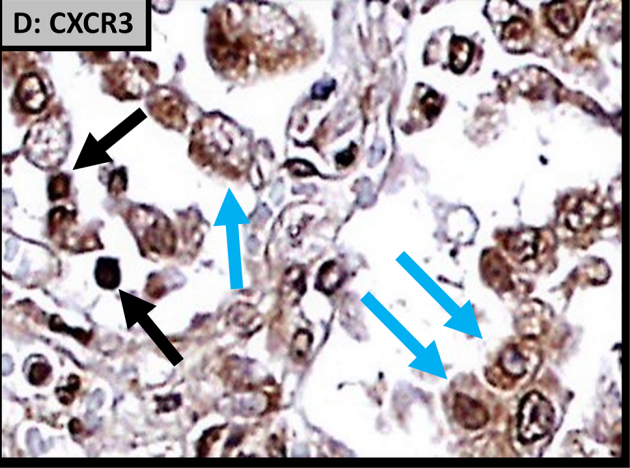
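This is lung tissue whose air spaces hold large free macrophages and small infiltrating mononuclear cells. The macrophages are big rounded cells with plenty of finely granular brown cytoplasm around a single round nucleus. Among them sit much smaller round cells whose dark, dense nucleus fills nearly the whole cell. Thin septa with flattened cells run between the spaces.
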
